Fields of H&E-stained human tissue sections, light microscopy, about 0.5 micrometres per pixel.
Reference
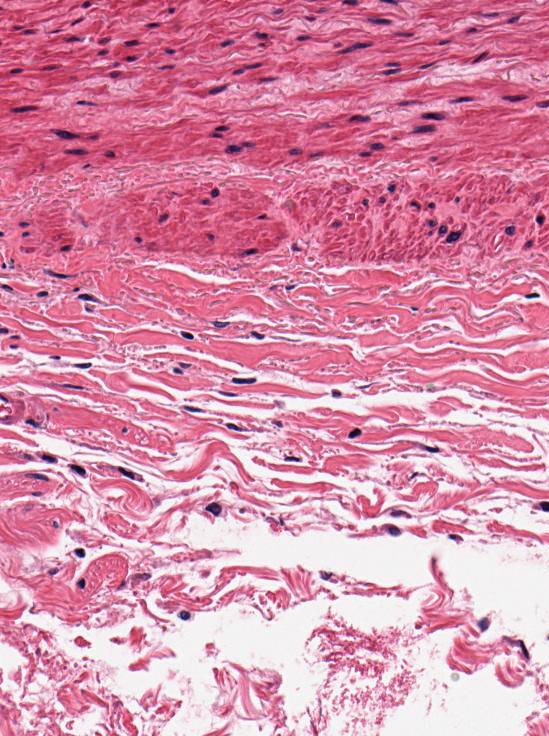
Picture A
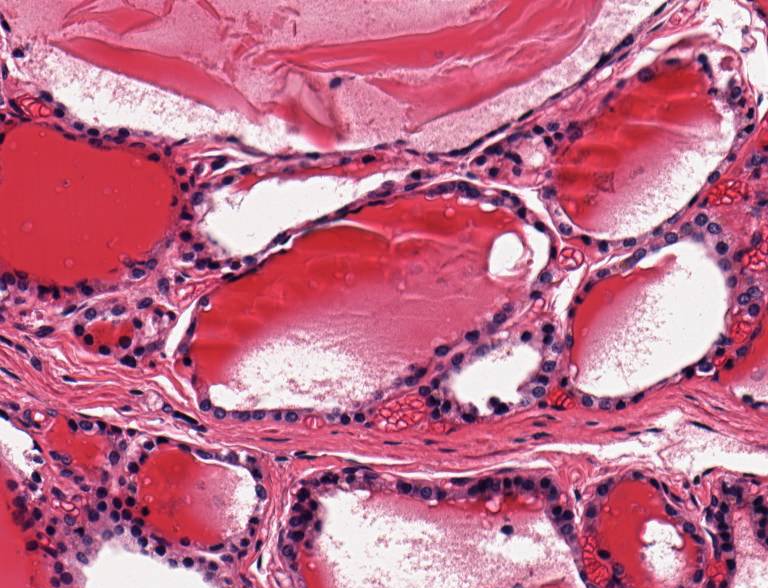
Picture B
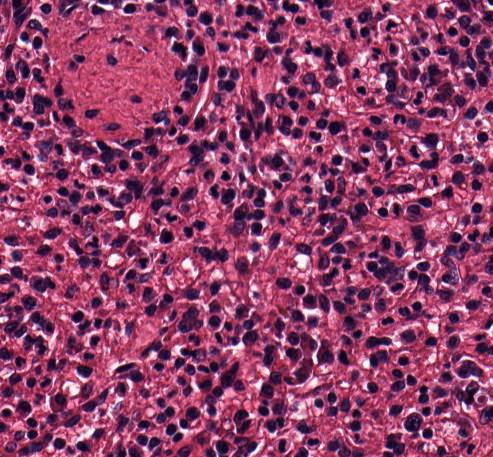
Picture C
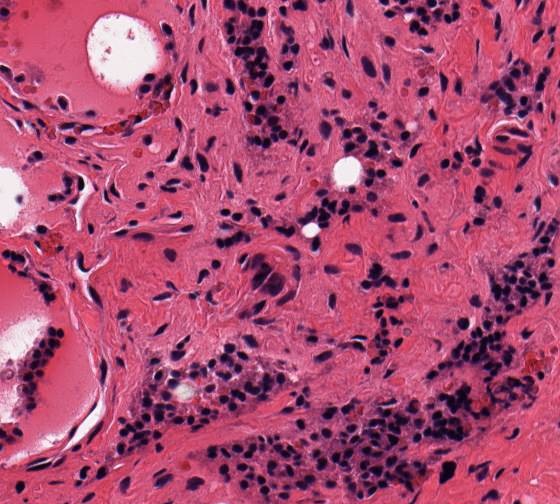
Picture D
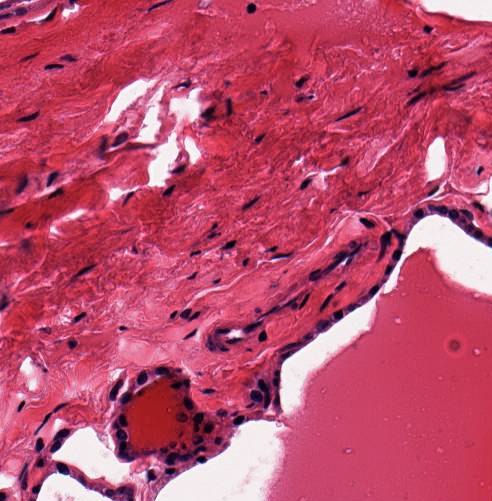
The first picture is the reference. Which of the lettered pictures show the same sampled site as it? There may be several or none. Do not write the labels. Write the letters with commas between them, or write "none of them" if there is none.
none of them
